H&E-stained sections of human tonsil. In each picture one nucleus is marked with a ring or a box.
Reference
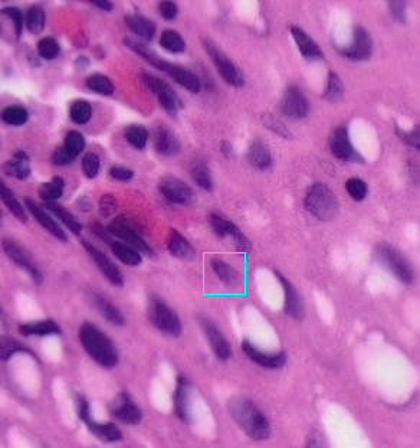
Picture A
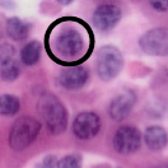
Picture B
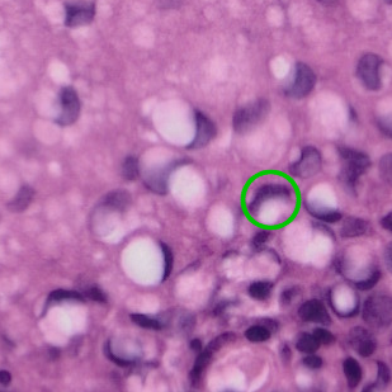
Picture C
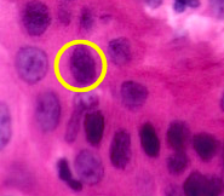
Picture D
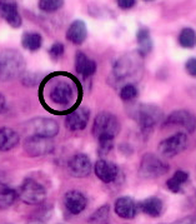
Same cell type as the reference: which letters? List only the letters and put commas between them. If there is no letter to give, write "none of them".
B, C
